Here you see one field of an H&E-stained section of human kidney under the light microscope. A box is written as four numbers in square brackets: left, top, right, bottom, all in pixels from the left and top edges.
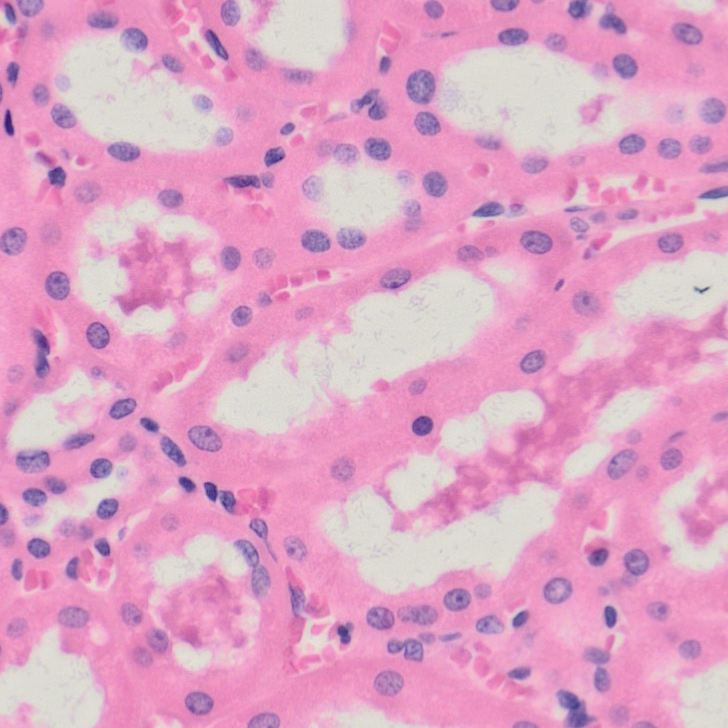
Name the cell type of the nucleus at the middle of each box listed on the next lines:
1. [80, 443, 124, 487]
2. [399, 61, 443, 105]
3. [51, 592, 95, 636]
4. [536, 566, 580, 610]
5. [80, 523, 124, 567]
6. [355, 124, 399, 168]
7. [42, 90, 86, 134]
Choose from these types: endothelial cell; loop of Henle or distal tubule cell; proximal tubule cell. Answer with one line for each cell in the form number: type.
1: loop of Henle or distal tubule cell
2: loop of Henle or distal tubule cell
3: proximal tubule cell
4: proximal tubule cell
5: endothelial cell
6: loop of Henle or distal tubule cell
7: loop of Henle or distal tubule cell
